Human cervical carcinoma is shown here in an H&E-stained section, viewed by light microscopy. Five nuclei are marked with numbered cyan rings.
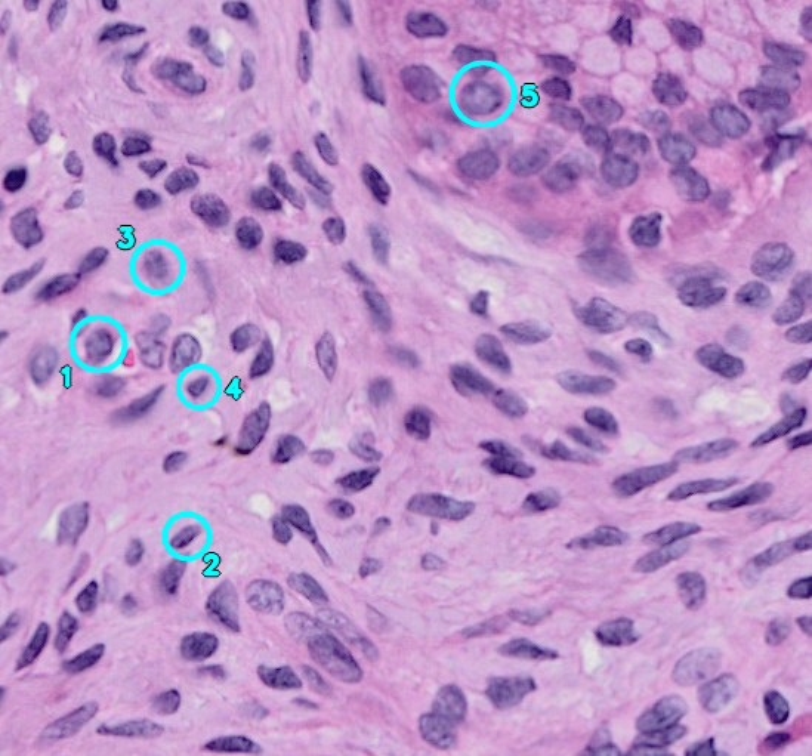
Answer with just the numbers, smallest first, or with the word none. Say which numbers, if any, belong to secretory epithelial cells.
5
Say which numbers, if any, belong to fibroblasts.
2, 3, 4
